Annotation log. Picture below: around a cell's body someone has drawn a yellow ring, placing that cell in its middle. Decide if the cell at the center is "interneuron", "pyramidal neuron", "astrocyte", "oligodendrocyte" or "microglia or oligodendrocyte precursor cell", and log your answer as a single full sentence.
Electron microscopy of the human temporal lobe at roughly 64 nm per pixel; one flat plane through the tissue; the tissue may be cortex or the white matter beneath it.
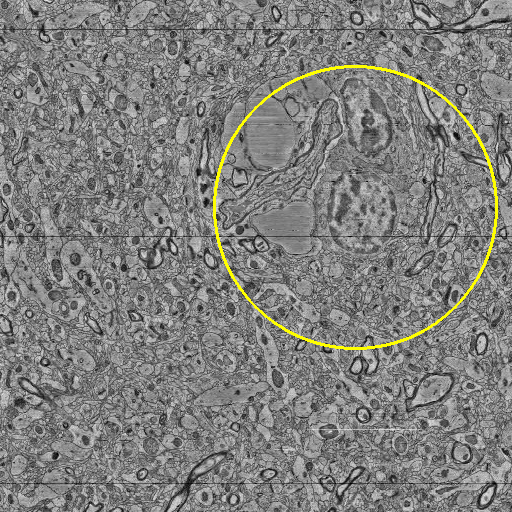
My entry records an oligodendrocyte as the cell sitting at the center of the yellow ring.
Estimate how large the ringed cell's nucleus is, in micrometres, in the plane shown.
In this plane the nucleus spans approximately 6 by 4 micrometers.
